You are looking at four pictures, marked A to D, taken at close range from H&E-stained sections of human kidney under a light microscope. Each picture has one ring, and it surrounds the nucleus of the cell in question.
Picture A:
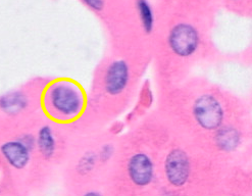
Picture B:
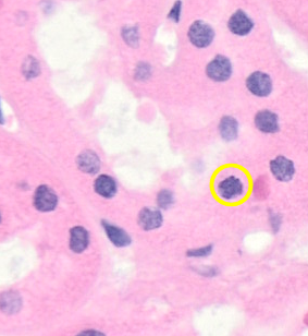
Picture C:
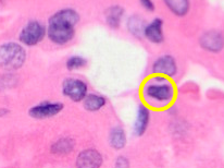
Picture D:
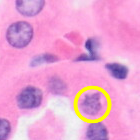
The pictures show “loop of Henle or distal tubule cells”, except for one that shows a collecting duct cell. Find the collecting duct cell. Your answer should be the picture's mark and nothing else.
C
